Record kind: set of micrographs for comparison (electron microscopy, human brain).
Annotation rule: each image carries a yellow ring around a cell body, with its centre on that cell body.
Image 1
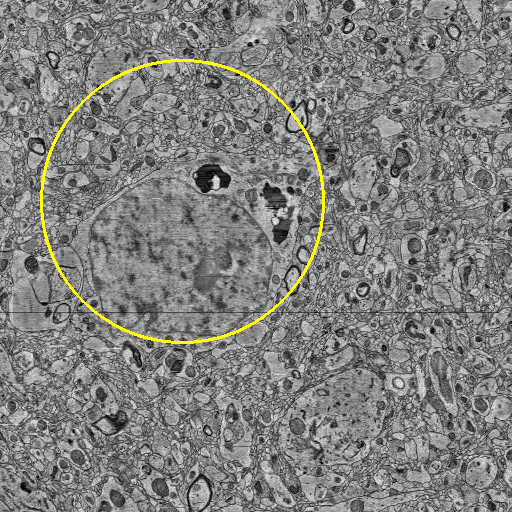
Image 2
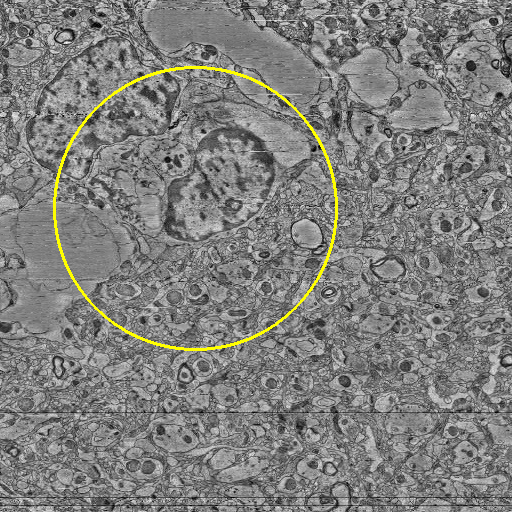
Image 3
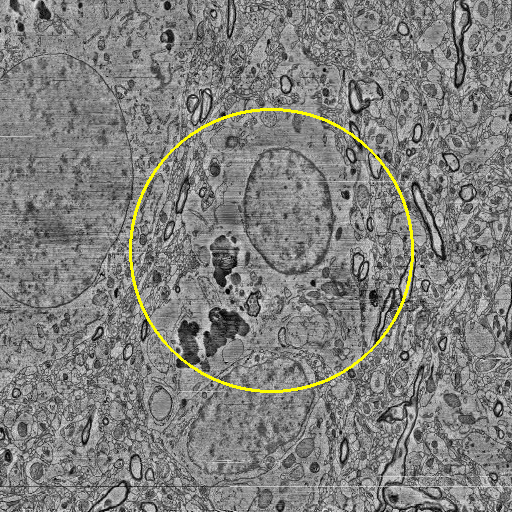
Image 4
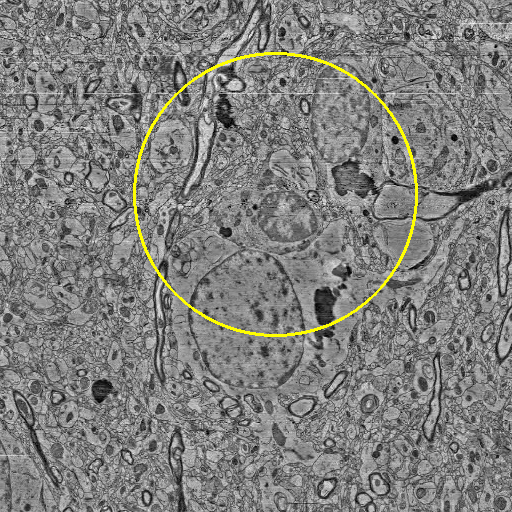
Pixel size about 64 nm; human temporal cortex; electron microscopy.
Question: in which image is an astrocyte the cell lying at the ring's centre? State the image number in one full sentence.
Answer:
In image 3, the ring is centred on the cell in question.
